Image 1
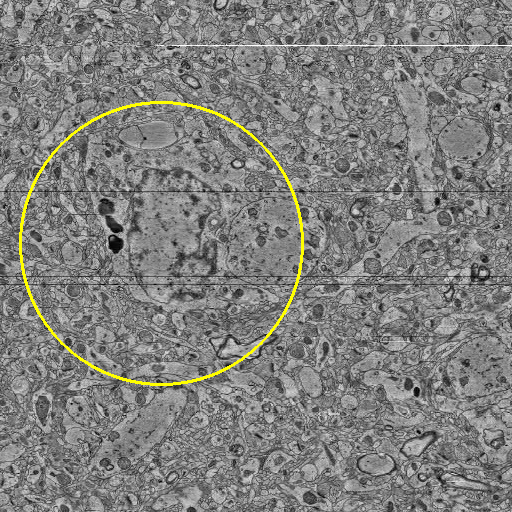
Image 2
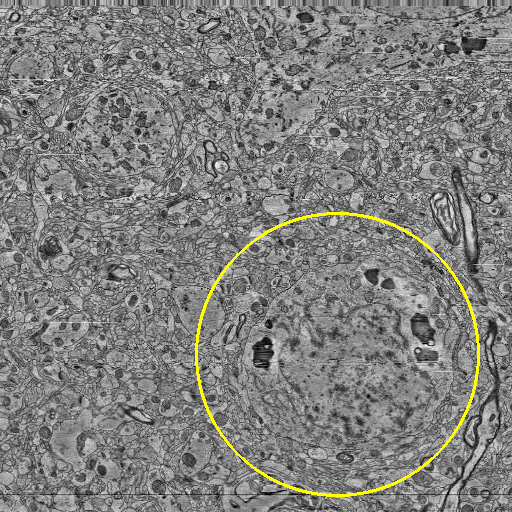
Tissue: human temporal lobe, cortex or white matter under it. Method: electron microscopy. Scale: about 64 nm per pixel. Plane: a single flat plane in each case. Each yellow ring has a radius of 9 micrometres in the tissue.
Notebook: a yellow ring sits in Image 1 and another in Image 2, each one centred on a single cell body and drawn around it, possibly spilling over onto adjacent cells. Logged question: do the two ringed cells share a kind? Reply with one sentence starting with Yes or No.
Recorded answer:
Yes, both centre cells inside the rings of Image 1 and Image 2 share one kind.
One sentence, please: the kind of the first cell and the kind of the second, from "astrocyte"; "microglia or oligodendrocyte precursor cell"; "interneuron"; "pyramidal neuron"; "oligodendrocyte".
In each picture the ringed cell is an interneuron.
